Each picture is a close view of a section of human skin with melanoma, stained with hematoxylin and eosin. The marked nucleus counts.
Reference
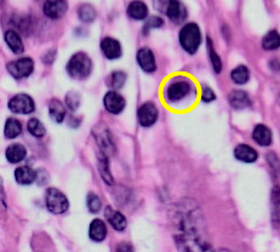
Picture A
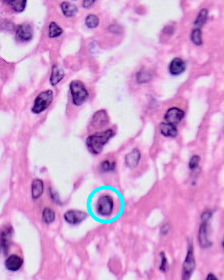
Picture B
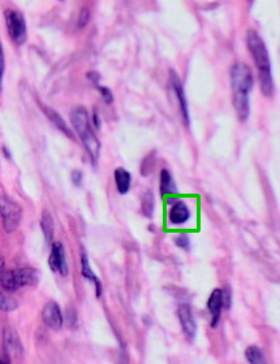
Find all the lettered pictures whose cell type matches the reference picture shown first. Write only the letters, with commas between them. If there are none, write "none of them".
none of them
